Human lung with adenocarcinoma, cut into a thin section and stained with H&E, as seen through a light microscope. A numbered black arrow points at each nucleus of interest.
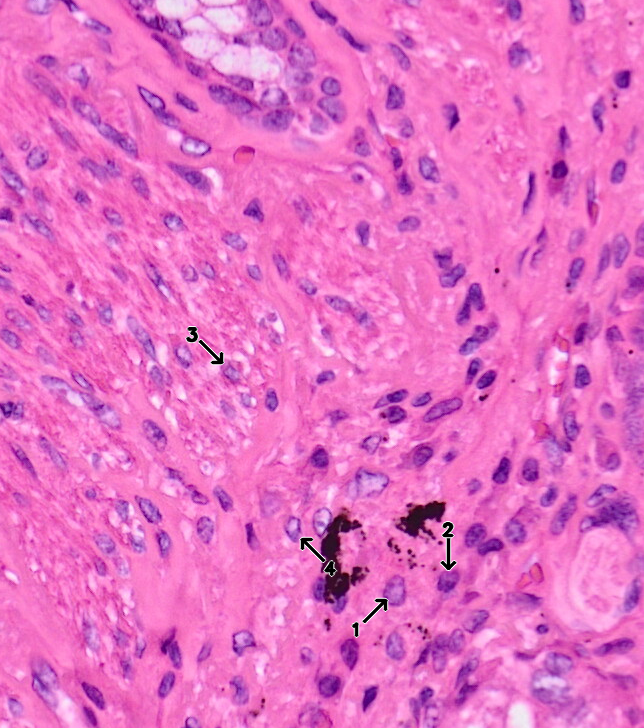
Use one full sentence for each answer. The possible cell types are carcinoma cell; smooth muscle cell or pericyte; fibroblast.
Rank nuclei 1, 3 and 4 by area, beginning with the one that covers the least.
Smallest first, the nuclei run 3, 4, 1.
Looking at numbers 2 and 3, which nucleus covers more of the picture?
Of the two, number 2 is bigger and takes up about 1.5 times the area of number 3.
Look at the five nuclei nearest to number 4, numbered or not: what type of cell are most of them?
Around number 4, most of the five nearest nuclei are those of fibroblasts.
